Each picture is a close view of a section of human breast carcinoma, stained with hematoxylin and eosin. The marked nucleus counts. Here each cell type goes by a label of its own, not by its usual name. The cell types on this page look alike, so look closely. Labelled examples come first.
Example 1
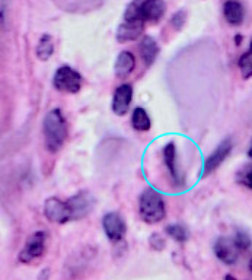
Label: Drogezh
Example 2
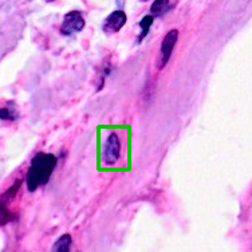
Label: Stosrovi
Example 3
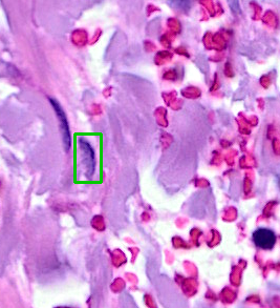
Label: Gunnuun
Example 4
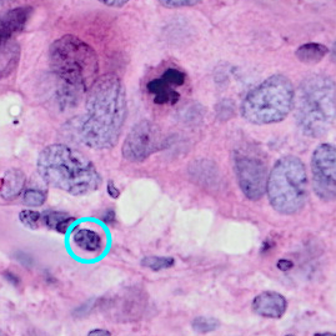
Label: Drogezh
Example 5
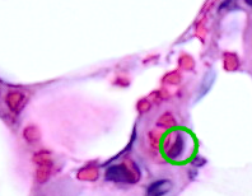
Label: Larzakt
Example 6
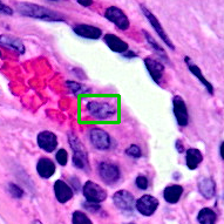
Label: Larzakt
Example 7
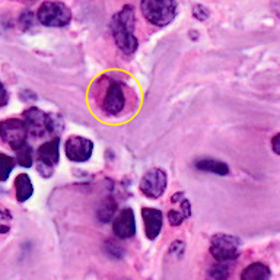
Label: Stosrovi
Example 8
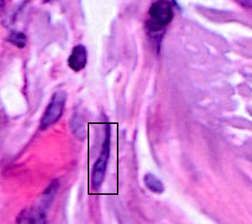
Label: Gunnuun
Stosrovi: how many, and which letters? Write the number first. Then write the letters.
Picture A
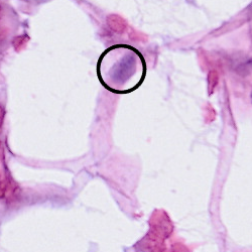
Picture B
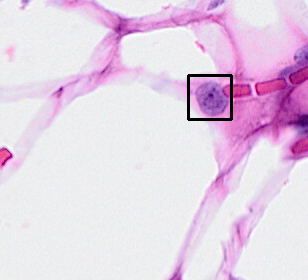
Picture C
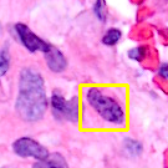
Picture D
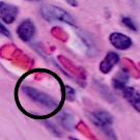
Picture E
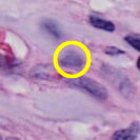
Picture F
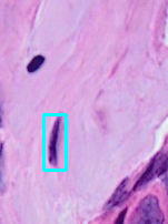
Count: 1 (C)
